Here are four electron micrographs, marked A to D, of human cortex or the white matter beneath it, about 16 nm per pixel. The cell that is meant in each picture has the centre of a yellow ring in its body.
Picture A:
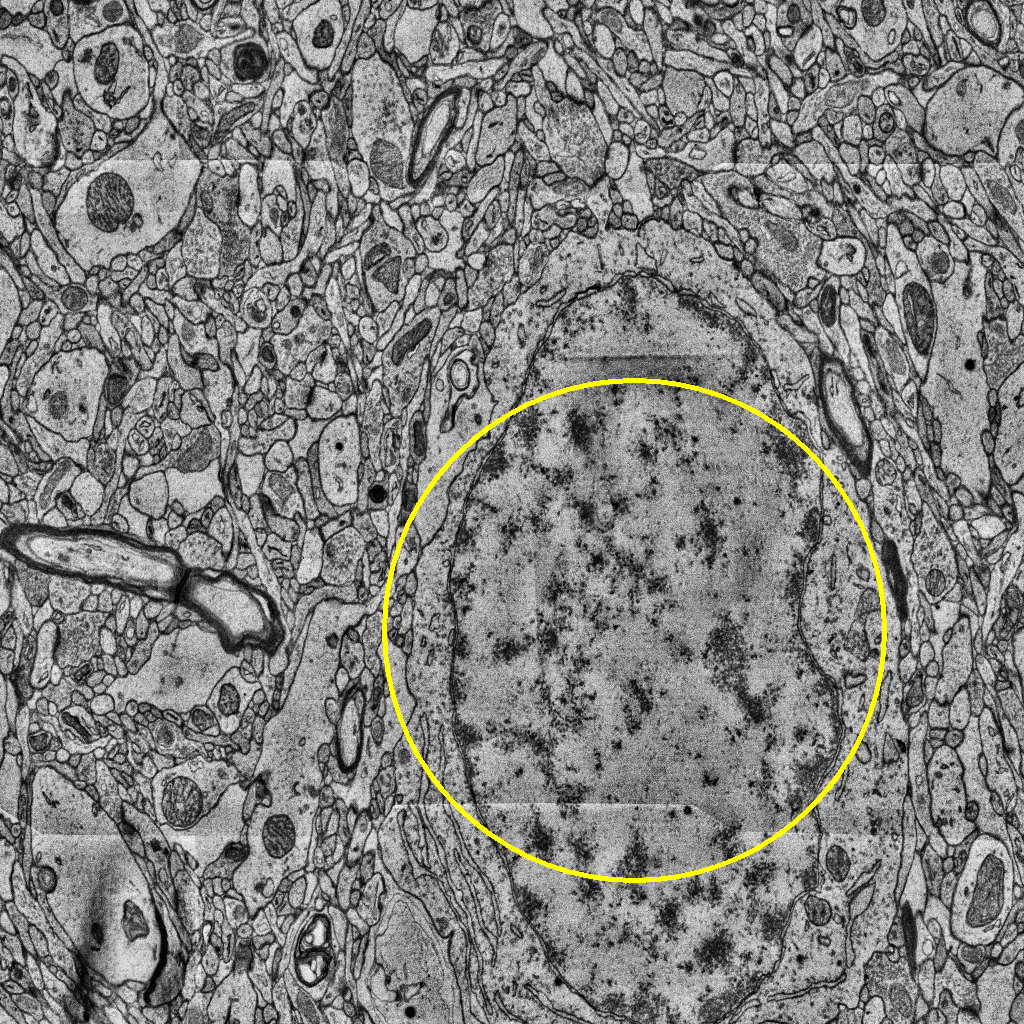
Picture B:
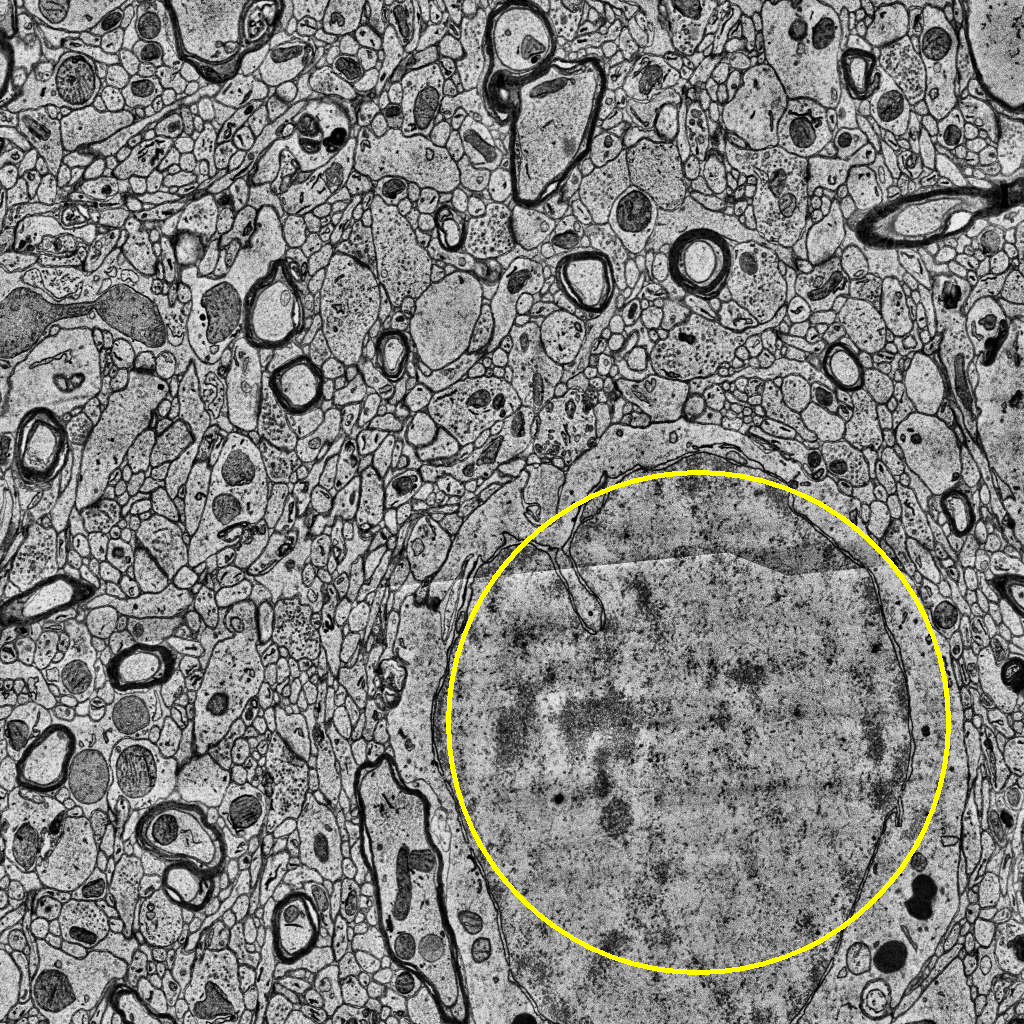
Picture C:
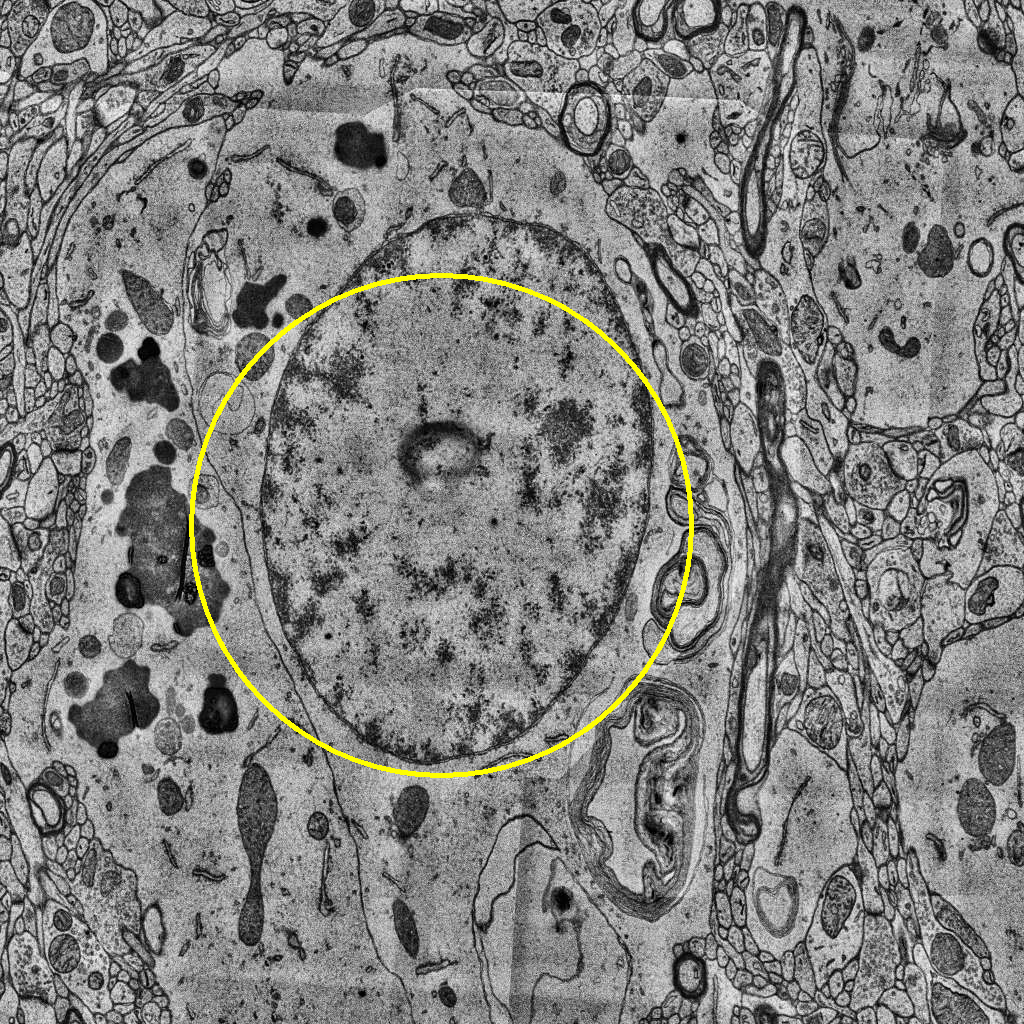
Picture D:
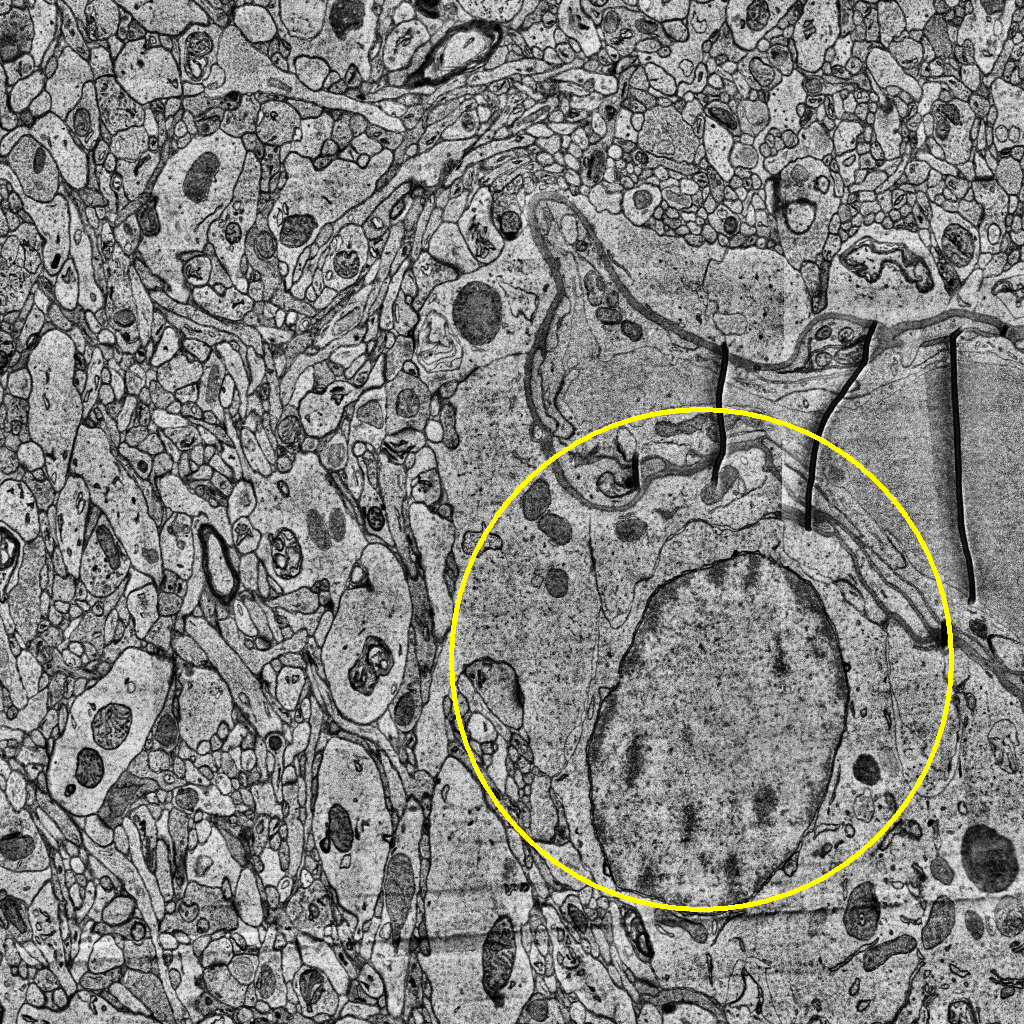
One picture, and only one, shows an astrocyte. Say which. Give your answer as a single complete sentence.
The picture with the astrocyte is C.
